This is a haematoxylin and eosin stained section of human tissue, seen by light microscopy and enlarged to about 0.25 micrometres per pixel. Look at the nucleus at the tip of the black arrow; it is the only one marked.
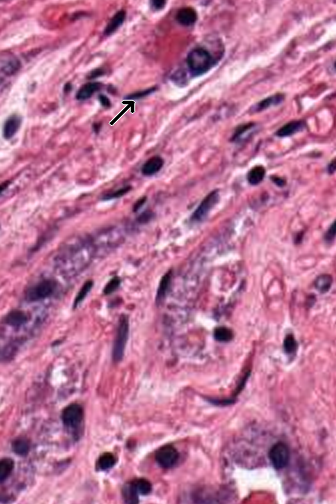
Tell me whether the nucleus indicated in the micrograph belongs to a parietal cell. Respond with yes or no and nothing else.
no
